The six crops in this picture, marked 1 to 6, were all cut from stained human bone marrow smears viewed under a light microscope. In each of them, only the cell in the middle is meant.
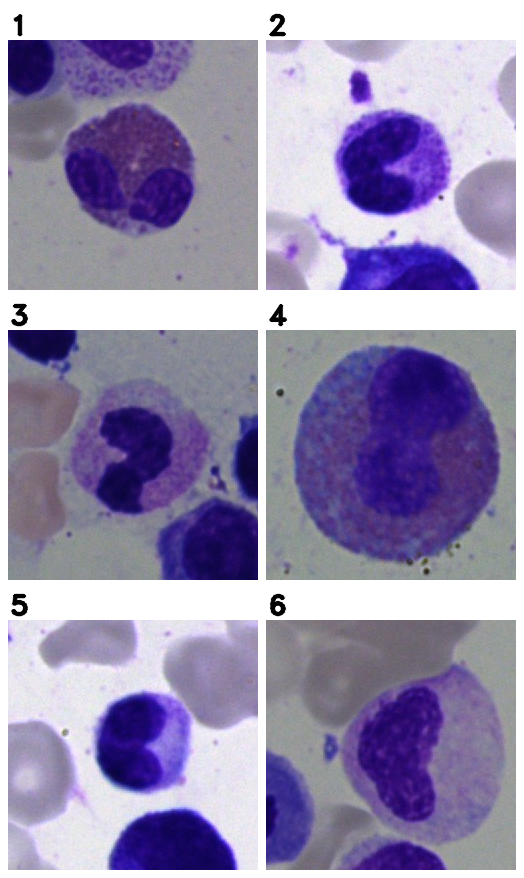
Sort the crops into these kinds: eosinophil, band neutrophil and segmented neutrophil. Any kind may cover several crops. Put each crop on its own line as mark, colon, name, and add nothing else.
1: eosinophil
2: segmented neutrophil
3: band neutrophil
4: eosinophil
5: band neutrophil
6: band neutrophil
